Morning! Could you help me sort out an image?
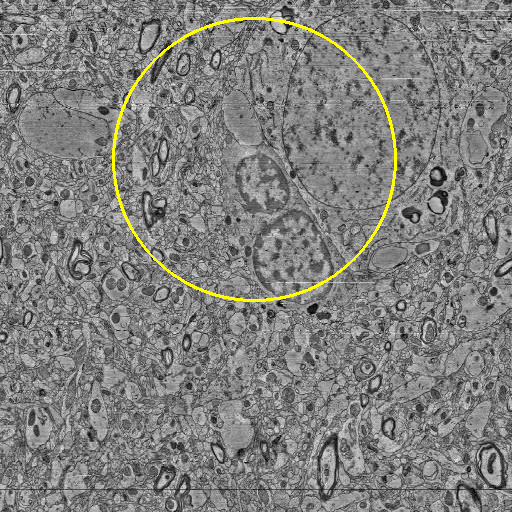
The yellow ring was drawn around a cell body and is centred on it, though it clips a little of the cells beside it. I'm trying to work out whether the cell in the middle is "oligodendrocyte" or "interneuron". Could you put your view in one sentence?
The ringed cell body is that of an oligodendrocyte.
